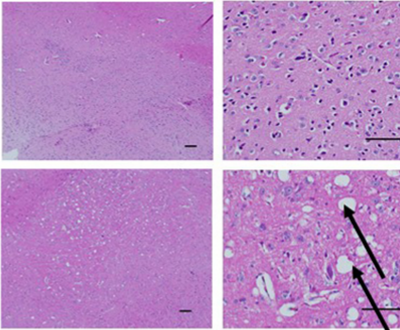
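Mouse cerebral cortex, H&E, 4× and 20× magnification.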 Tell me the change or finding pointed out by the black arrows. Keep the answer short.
Vacuoles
